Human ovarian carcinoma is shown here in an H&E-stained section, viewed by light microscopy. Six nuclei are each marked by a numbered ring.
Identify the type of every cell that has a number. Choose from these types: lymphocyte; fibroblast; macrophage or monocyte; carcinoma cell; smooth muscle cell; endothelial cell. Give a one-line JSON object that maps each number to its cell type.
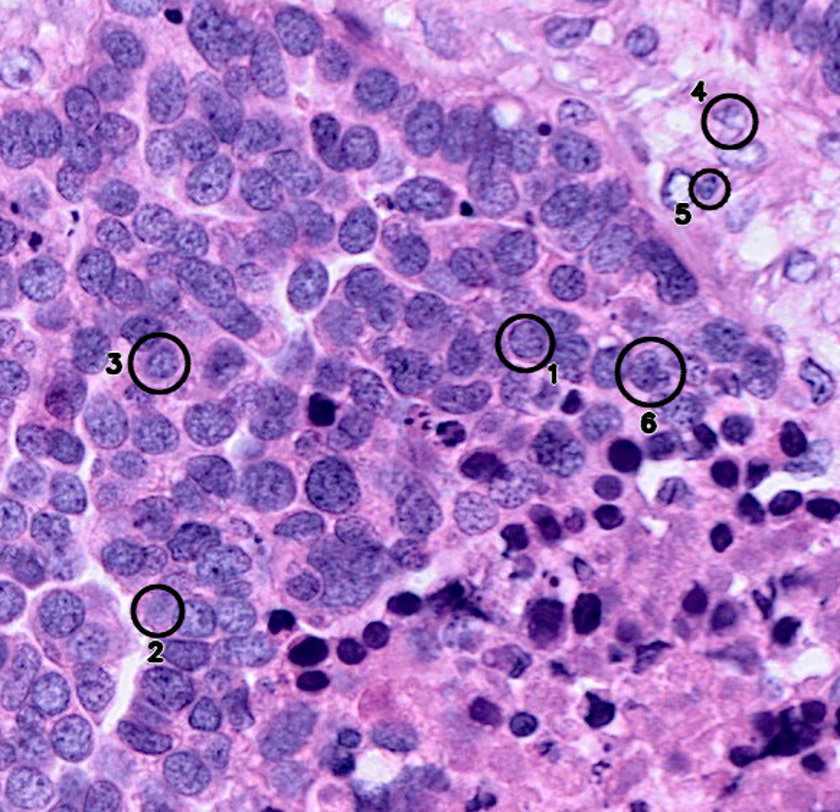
{"1": "carcinoma cell", "2": "carcinoma cell", "3": "carcinoma cell", "4": "fibroblast", "5": "fibroblast", "6": "carcinoma cell"}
